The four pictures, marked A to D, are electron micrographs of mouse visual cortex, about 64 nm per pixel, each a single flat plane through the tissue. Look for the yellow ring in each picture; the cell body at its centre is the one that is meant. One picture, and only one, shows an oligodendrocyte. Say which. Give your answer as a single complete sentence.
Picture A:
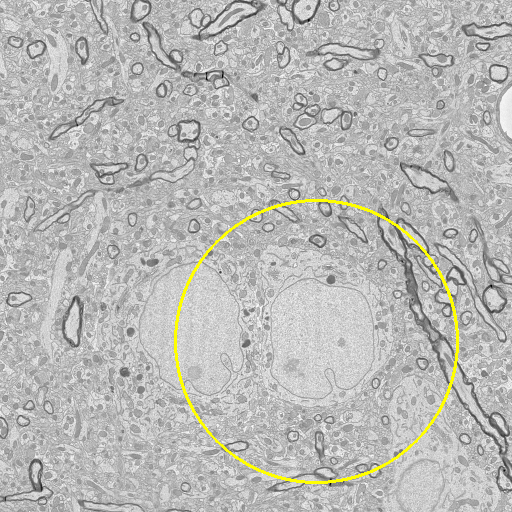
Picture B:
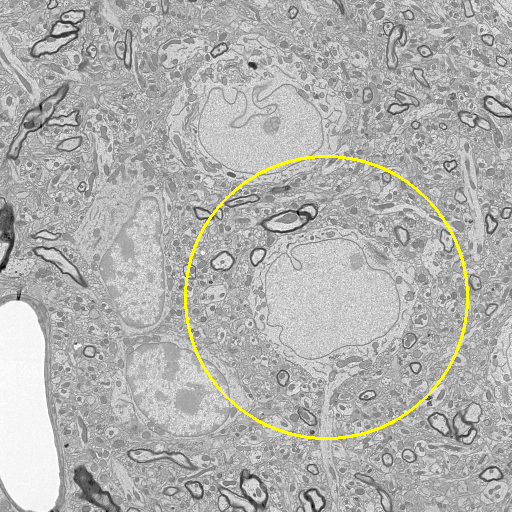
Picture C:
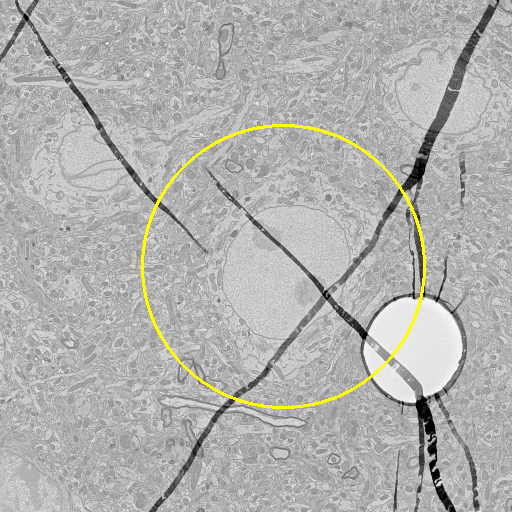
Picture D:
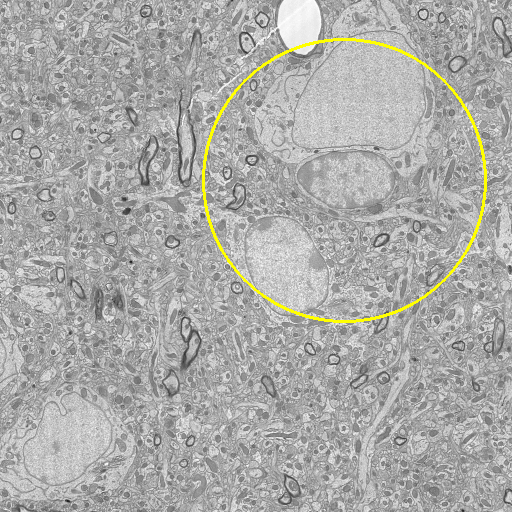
Picture D is the one that shows the oligodendrocyte.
